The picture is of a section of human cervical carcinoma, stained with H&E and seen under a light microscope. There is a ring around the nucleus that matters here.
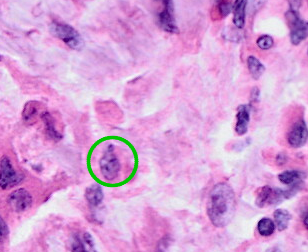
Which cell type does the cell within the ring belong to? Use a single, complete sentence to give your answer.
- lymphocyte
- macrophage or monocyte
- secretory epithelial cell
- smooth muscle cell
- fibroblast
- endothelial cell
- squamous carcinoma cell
Labelled by cell type, the cell within the ring is a macrophage or monocyte.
